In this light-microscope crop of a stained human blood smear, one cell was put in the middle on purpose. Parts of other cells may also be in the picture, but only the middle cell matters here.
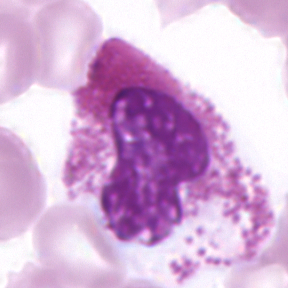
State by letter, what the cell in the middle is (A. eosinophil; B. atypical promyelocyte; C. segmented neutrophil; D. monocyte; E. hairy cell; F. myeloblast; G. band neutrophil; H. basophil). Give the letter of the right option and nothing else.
A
